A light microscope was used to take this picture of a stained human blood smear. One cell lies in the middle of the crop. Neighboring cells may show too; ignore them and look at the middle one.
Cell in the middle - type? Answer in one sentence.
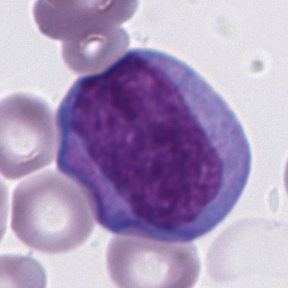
In the middle of this smear crop is a promyelocyte.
